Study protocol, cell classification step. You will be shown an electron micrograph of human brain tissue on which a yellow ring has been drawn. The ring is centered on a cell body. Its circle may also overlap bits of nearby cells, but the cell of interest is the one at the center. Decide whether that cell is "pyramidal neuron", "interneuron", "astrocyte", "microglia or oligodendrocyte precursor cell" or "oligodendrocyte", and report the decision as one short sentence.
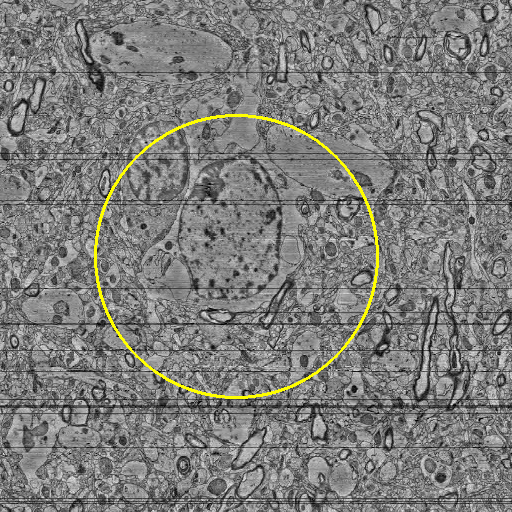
The marked cell is an astrocyte.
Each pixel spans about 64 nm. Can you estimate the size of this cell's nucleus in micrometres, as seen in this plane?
About 10 by 7 micrometers, in this plane.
